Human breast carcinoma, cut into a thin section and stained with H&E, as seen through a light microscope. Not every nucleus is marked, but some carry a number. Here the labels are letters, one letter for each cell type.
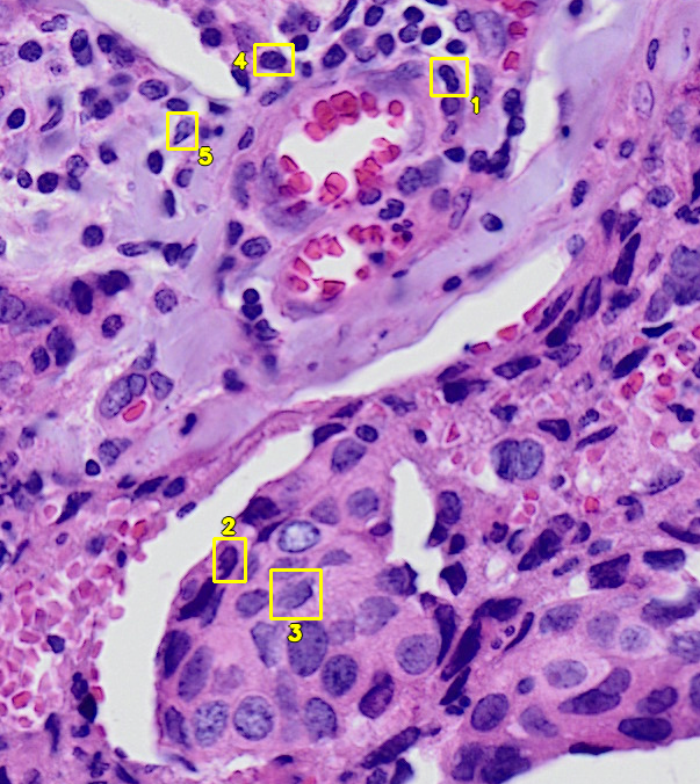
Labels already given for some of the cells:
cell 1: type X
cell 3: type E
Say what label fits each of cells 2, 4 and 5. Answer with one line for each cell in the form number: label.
2: type E
4: type X
5: type X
